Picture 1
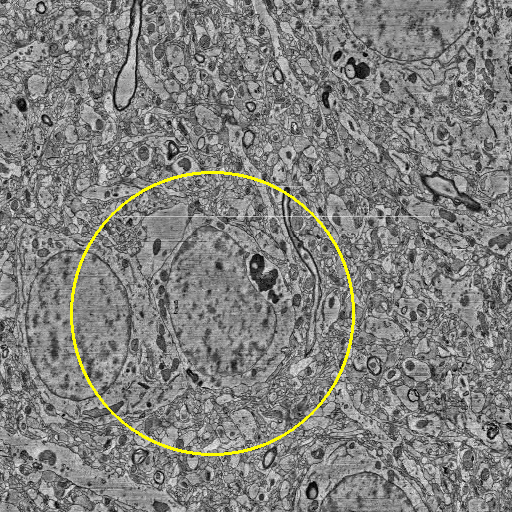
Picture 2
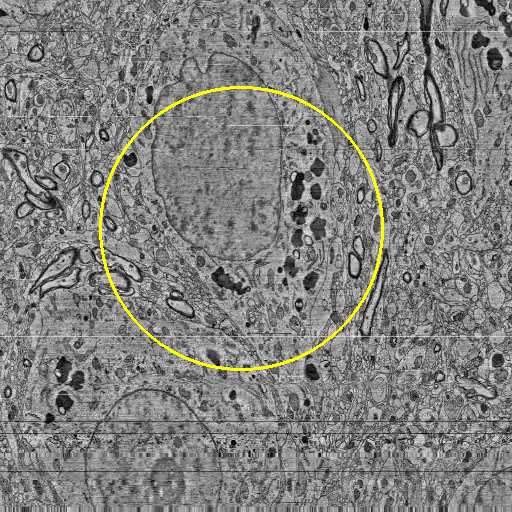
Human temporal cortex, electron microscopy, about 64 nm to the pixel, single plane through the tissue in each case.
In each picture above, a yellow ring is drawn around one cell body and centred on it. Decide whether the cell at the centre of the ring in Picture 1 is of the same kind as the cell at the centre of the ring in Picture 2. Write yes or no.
yes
